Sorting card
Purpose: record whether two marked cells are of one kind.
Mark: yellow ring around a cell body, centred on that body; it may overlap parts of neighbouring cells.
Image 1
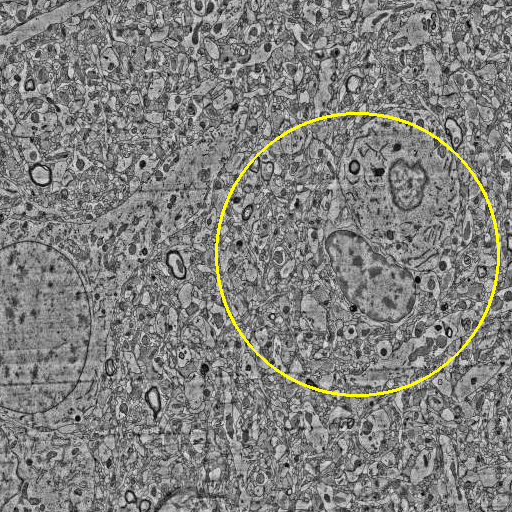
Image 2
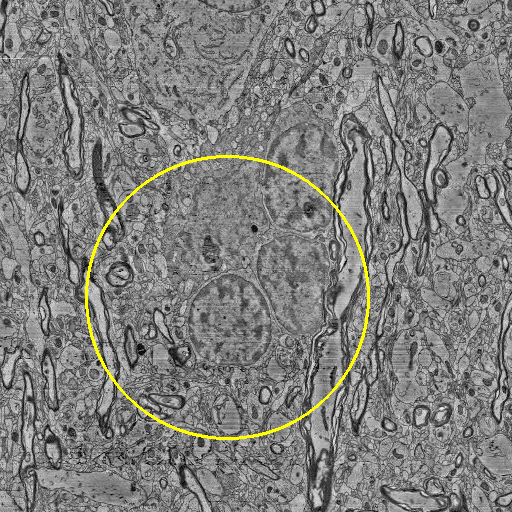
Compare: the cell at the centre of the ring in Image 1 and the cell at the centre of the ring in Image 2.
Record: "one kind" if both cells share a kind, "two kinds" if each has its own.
two kinds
